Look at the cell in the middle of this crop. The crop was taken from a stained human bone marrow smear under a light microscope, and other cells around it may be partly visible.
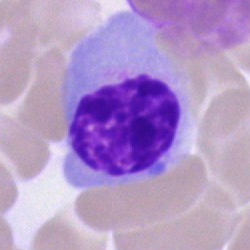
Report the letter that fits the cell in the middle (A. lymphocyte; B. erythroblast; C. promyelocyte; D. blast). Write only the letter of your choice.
B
